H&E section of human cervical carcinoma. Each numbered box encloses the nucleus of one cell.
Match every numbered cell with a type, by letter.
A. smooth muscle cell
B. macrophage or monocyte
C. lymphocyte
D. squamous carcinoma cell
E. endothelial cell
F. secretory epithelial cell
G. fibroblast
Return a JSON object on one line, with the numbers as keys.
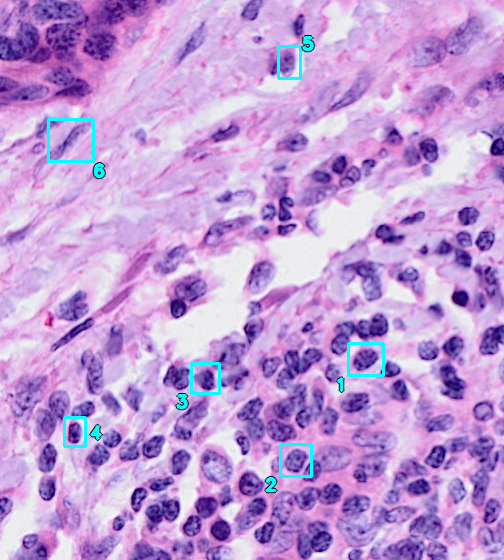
{"1": "C", "2": "C", "3": "C", "4": "C", "5": "B", "6": "G"}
